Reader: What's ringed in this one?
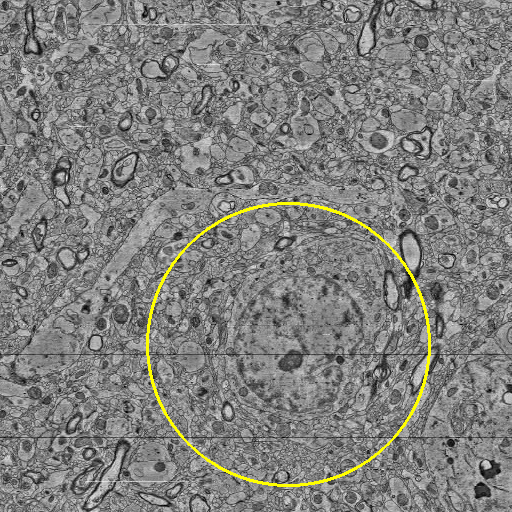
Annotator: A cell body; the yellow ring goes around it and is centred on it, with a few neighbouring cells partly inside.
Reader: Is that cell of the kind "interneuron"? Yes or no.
yes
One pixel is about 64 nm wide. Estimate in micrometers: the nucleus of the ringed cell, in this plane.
Roughly 10 by 8 micrometres is the size of the nucleus in this plane.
